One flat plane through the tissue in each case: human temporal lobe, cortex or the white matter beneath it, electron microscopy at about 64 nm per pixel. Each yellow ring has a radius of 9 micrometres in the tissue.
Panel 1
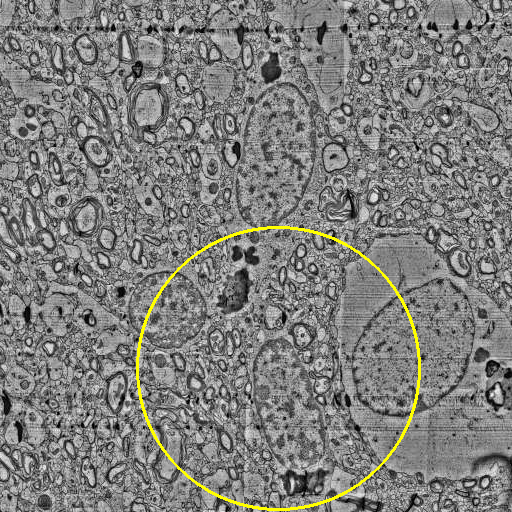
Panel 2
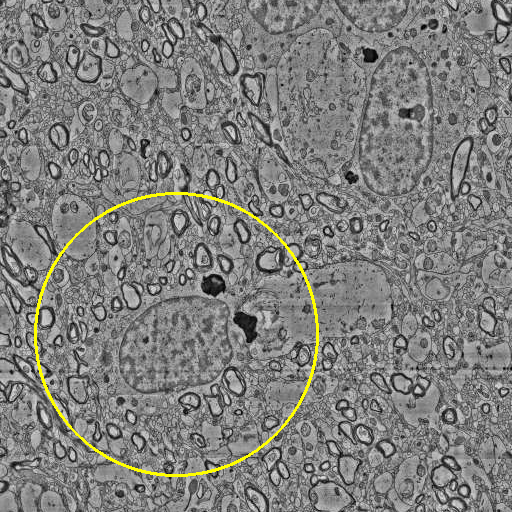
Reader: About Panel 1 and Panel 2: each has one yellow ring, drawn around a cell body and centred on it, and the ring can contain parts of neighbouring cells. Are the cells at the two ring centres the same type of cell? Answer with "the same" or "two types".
the same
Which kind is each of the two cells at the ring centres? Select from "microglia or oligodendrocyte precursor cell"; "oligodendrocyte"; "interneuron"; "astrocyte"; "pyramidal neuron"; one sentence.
Each cell, in the first picture and the second, is an oligodendrocyte.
